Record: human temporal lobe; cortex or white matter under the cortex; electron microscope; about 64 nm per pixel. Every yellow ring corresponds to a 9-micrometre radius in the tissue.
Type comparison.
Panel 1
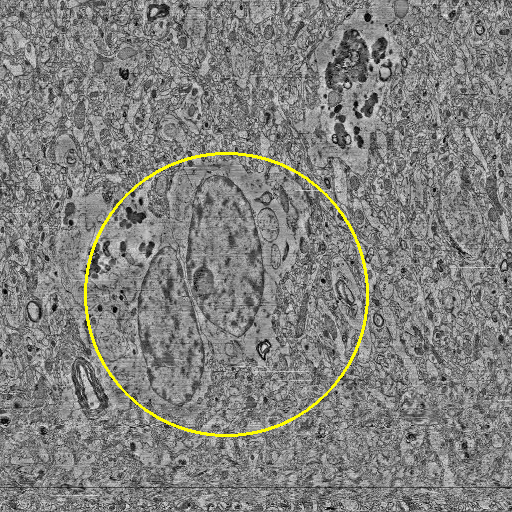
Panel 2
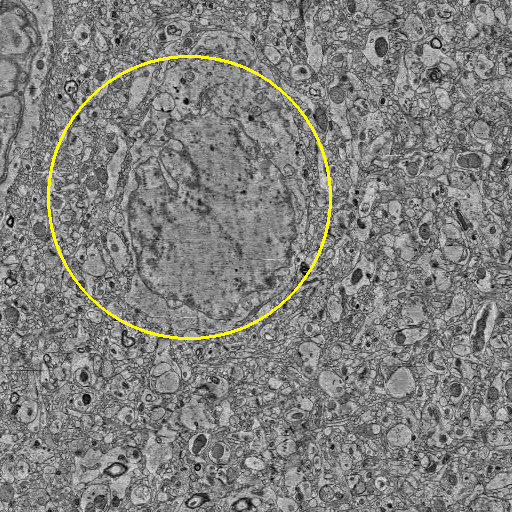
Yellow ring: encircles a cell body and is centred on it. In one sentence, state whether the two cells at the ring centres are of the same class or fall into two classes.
In these panels, the two cells at the ring centres fall into two classes.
